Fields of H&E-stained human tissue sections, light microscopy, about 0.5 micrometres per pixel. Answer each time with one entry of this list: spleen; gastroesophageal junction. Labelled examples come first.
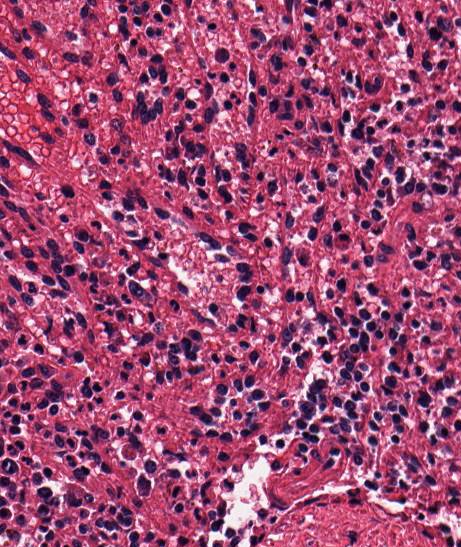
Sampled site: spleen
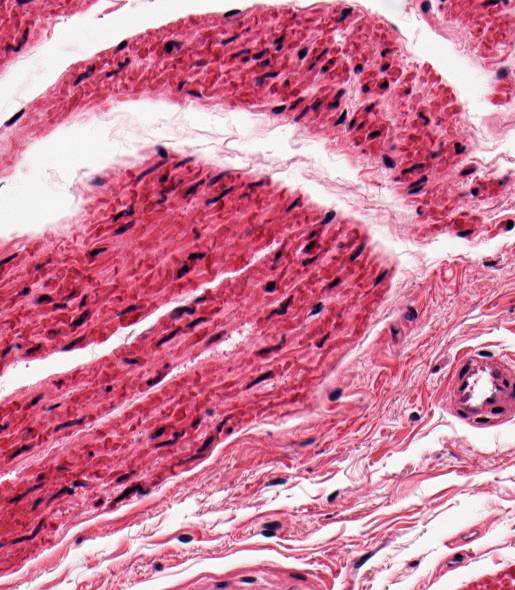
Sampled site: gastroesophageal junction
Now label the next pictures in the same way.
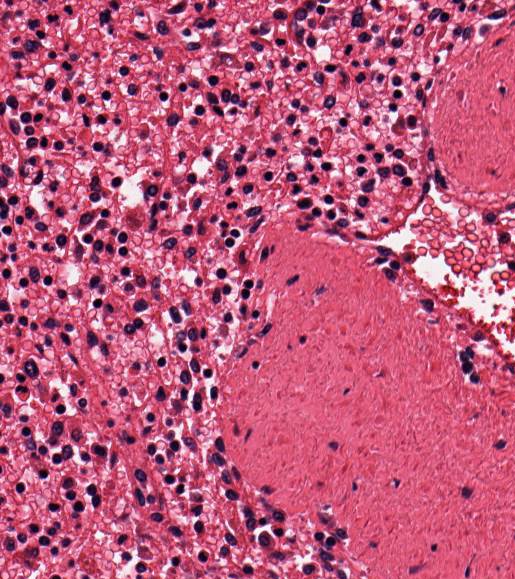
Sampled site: spleen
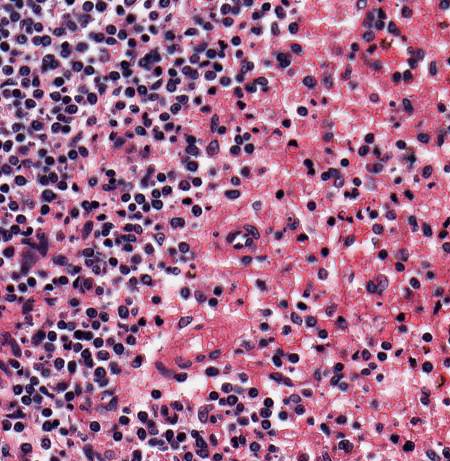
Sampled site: spleen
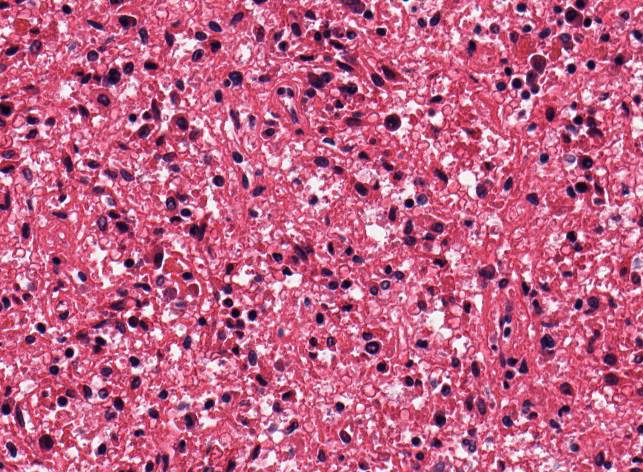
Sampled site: spleen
